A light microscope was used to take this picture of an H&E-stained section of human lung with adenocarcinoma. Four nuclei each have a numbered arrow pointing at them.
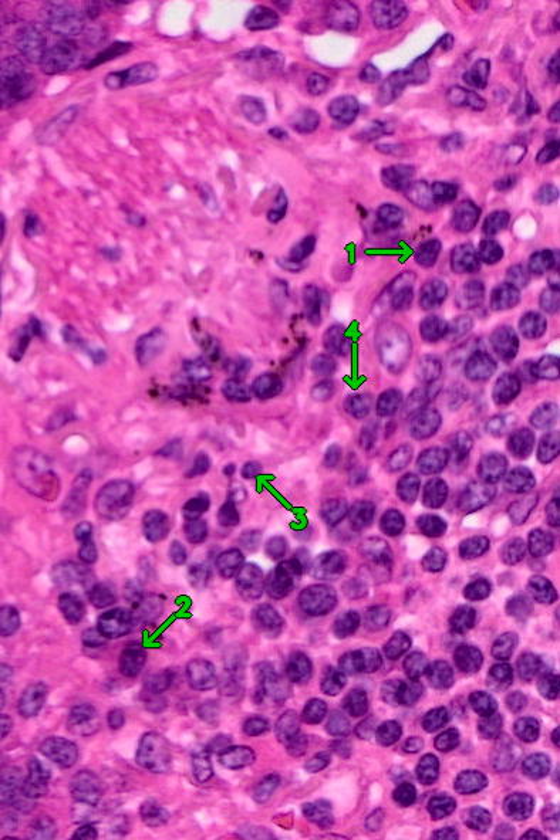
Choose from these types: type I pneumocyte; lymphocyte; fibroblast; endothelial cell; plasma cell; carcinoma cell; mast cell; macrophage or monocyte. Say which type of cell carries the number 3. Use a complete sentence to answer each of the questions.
Cell 3 is classified as a lymphocyte.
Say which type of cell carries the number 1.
Corresponding to a lymphocyte is the cell labelled 1.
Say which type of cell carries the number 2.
Heads up, the cell numbered 2 is a plasma cell.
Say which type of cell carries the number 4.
Number 4 among the marked cells is a lymphocyte.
